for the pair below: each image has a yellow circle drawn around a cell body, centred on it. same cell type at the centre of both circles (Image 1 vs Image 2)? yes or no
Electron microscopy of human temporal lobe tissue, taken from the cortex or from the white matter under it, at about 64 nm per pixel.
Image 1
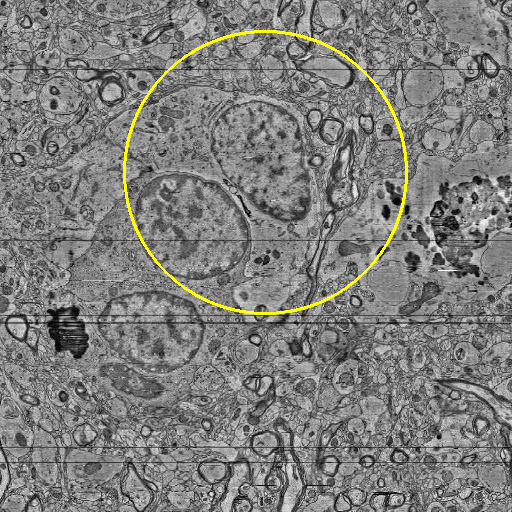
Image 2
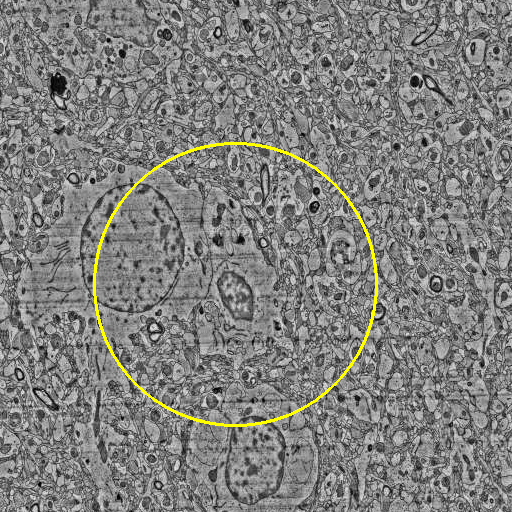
no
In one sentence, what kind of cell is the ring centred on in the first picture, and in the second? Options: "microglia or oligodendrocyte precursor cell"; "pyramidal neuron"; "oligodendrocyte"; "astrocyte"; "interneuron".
The cell at the centre of the second ring is an astrocyte; the first ring's cell is a microglial cell or oligodendrocyte precursor cell.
